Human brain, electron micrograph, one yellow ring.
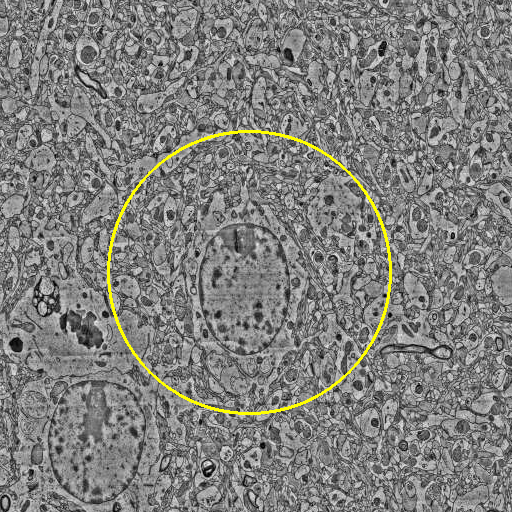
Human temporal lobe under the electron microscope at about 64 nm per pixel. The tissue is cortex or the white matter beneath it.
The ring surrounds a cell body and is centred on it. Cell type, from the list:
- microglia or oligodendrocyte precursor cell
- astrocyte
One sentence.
The yellow ring circles an astrocyte.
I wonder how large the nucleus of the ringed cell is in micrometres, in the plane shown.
Roughly 8 micrometres by 6 micrometres, in this plane.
